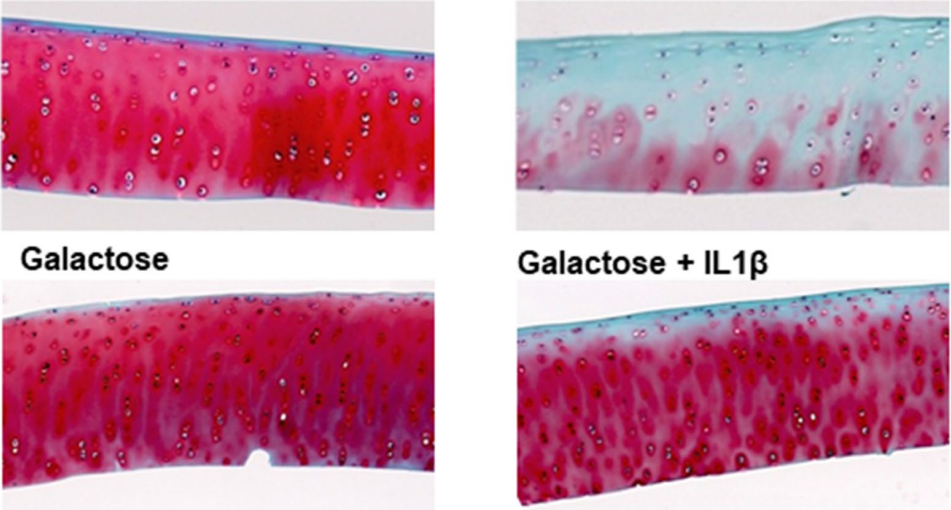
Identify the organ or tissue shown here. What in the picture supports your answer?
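Round cells sit singly or in small groups within clear spaces (lacunae) in an abundant matrix. The matrix is smooth and without fibres or vessels, stained red to pink with a blue-green surface band.
Answer: cartilage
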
